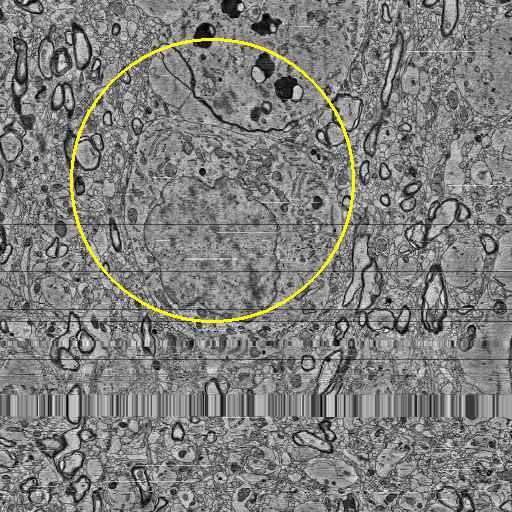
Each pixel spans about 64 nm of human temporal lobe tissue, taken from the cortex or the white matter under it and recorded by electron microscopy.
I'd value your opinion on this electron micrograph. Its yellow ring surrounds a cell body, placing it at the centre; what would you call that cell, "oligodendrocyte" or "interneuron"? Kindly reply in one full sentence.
It is an interneuron that sits centred within the yellow ring in this micrograph.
